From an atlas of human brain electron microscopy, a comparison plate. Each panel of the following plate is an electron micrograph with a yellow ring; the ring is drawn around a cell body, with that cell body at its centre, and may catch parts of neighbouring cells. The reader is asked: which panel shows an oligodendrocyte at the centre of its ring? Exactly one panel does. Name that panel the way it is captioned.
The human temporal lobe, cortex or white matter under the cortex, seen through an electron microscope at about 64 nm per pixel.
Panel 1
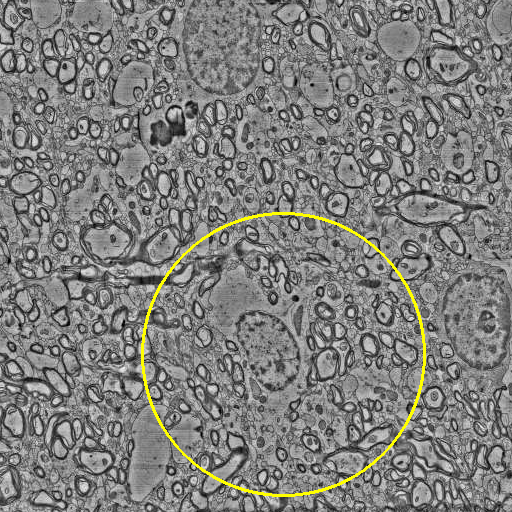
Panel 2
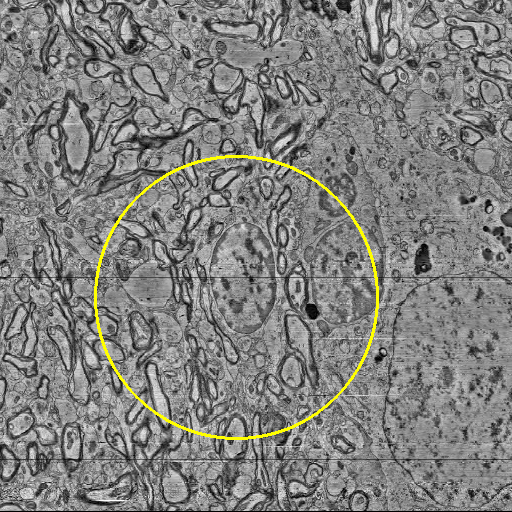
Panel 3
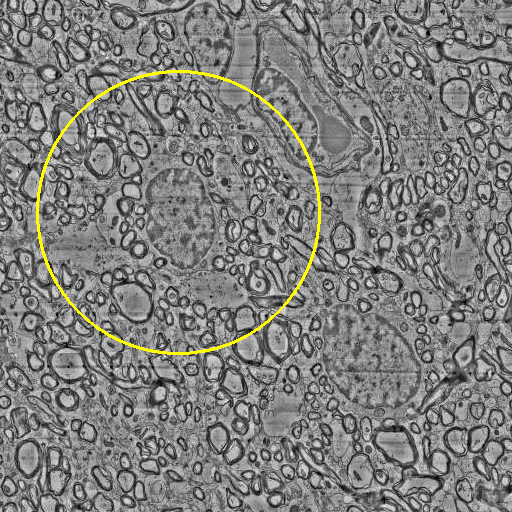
Panel 3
